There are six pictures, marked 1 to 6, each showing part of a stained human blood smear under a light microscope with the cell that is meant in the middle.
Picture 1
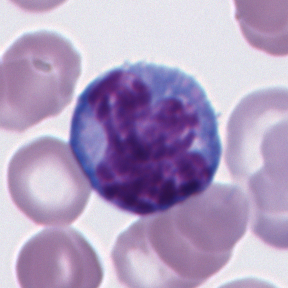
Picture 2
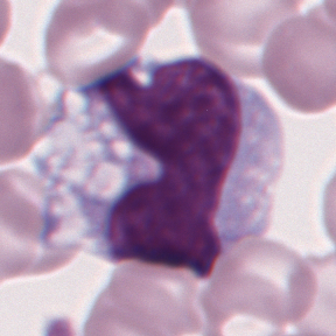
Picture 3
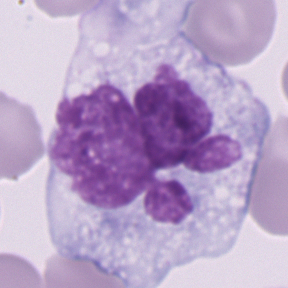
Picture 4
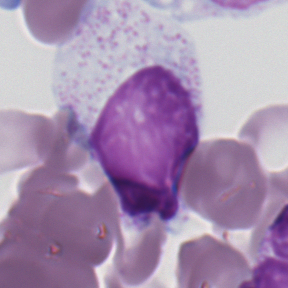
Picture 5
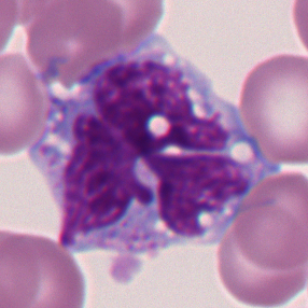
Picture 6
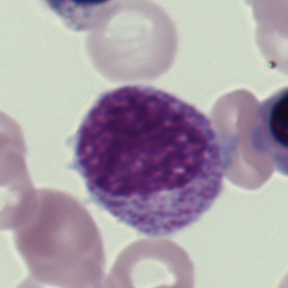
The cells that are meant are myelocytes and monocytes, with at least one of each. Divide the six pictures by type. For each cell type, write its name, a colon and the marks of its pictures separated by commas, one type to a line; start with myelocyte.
myelocyte: 4, 6
monocyte: 1, 2, 3, 5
